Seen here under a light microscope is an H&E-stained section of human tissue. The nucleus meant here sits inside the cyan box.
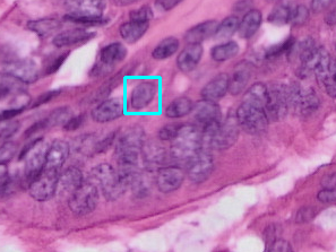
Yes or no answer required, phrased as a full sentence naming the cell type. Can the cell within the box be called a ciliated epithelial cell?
Yes, by cell type, the cell within the box is a ciliated epithelial cell.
